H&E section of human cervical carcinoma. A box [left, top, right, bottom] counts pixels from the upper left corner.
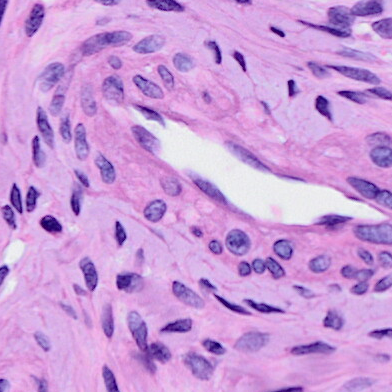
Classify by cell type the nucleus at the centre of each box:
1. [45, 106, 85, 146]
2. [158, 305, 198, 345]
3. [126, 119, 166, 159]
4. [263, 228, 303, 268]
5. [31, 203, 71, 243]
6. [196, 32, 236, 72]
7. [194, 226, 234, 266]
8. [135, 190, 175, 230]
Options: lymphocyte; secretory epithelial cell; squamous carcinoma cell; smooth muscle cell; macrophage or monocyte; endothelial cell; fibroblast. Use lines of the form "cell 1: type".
cell 1: smooth muscle cell
cell 2: fibroblast
cell 3: endothelial cell
cell 4: smooth muscle cell
cell 5: lymphocyte
cell 6: fibroblast
cell 7: smooth muscle cell
cell 8: smooth muscle cell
